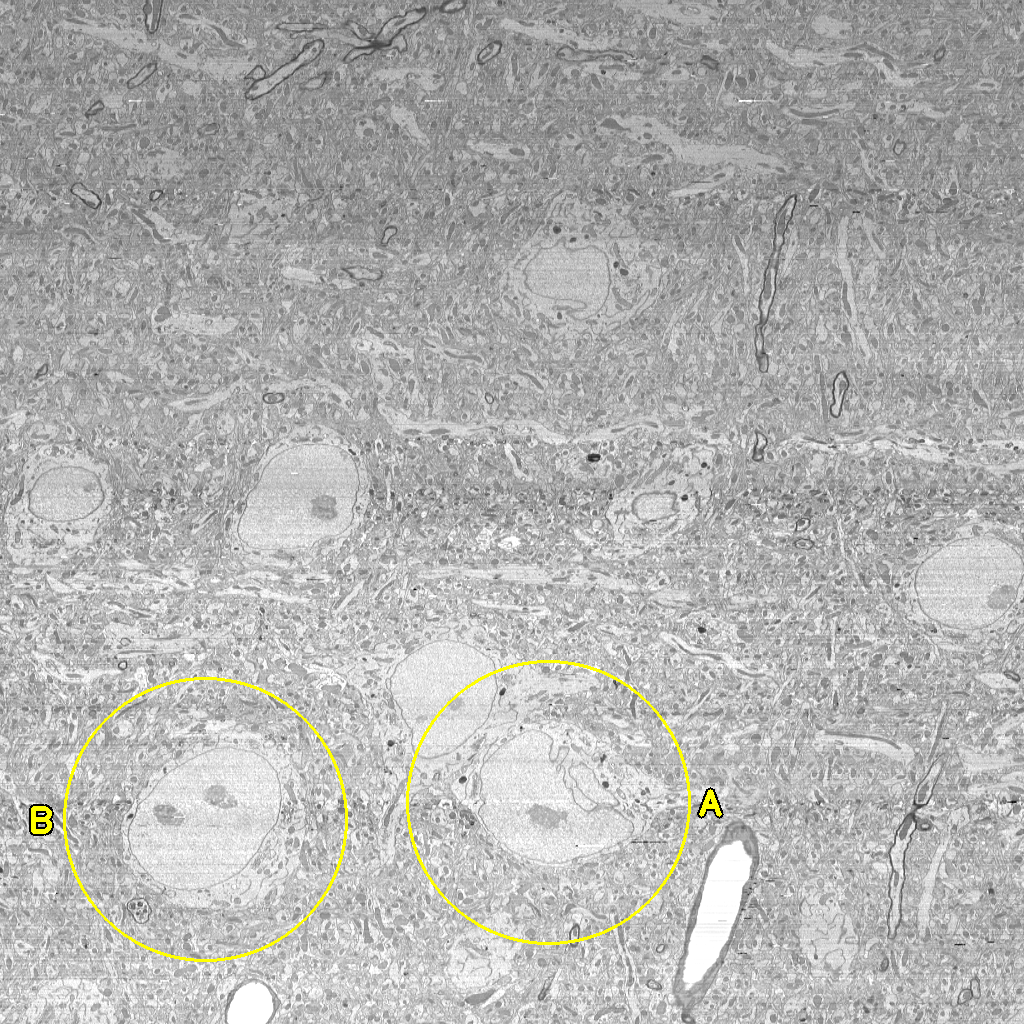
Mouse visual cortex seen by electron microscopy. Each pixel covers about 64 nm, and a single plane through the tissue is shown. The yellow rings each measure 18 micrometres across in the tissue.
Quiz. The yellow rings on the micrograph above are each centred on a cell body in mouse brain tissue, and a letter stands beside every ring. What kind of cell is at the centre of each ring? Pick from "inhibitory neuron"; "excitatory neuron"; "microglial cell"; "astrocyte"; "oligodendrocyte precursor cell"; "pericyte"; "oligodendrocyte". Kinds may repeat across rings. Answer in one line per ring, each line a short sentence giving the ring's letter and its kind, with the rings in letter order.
The ring labelled A has an inhibitory neuron at its centre.
The ring labelled B has an excitatory neuron at its centre.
